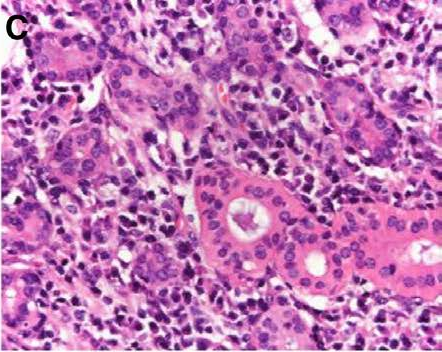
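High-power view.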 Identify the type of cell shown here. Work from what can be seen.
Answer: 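Lymphocytes and plasma cells. Many small round cells with dark, dense nuclei and scant cytoplasm. Cells with eccentric round nuclei and more abundant pink cytoplasm are scattered among them. These cells crowd densely around pink epithelial structures with lumens.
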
